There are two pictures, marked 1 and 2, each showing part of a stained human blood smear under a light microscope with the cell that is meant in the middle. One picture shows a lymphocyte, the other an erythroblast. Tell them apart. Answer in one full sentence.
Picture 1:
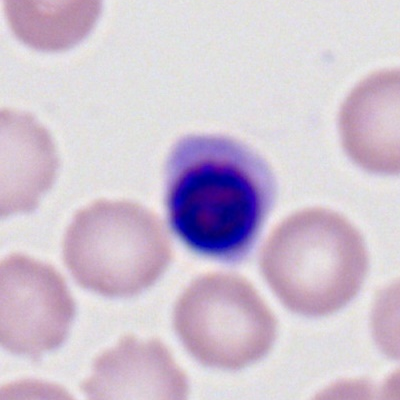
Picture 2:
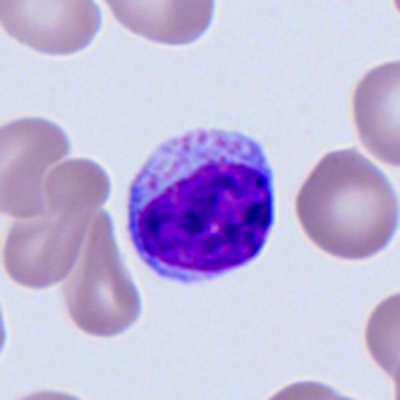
It is picture 1 that shows an erythroblast, and picture 2 that shows a lymphocyte.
